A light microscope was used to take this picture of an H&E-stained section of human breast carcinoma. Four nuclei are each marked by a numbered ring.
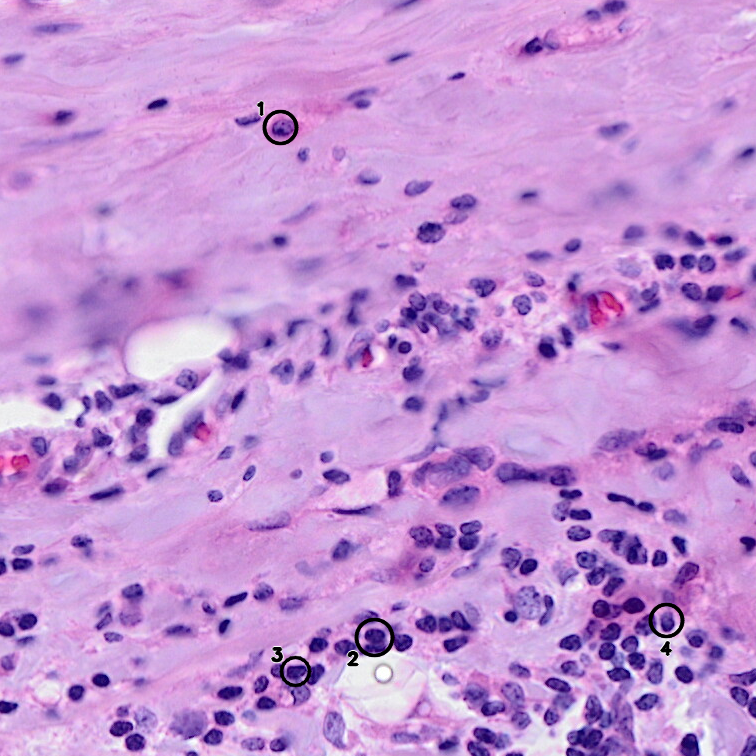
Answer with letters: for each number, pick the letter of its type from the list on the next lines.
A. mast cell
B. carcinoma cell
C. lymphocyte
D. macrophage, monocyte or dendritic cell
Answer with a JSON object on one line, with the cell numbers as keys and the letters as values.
{"1": "A", "2": "C", "3": "C", "4": "C"}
